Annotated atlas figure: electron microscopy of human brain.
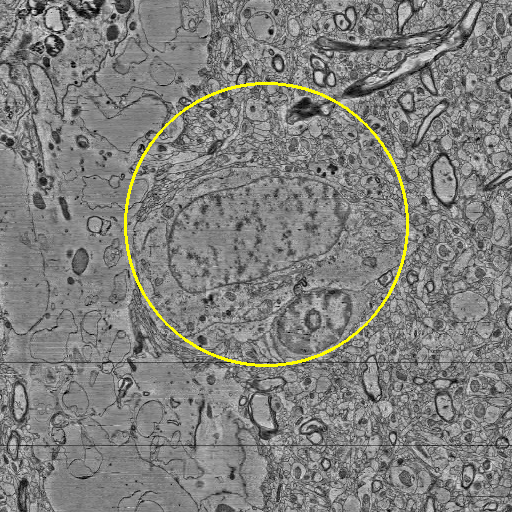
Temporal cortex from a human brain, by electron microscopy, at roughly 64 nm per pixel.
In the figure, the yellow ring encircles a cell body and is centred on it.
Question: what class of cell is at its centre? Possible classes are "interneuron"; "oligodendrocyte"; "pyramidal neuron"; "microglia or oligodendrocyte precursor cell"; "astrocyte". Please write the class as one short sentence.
The yellow ring is drawn around a pyramidal neuron.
